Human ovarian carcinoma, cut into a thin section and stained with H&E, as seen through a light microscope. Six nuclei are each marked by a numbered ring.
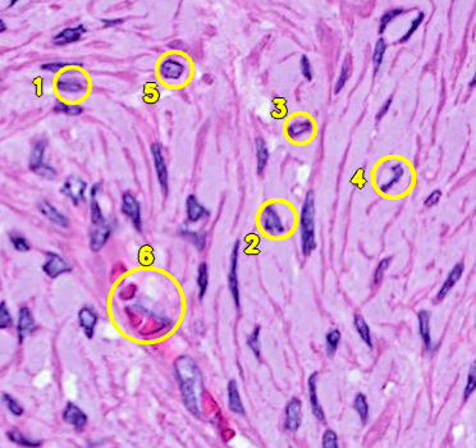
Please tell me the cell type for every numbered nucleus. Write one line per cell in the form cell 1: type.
cell 1: fibroblast
cell 2: fibroblast
cell 3: fibroblast
cell 4: fibroblast
cell 5: macrophage or monocyte
cell 6: endothelial cell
